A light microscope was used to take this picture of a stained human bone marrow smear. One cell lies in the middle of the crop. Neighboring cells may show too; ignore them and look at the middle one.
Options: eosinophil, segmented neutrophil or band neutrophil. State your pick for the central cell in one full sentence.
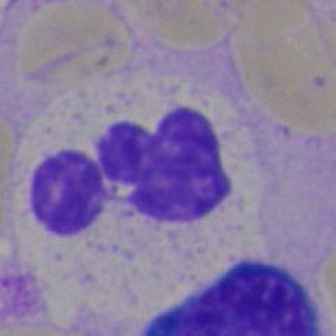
In this smear crop, the middle cell is a segmented neutrophil.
